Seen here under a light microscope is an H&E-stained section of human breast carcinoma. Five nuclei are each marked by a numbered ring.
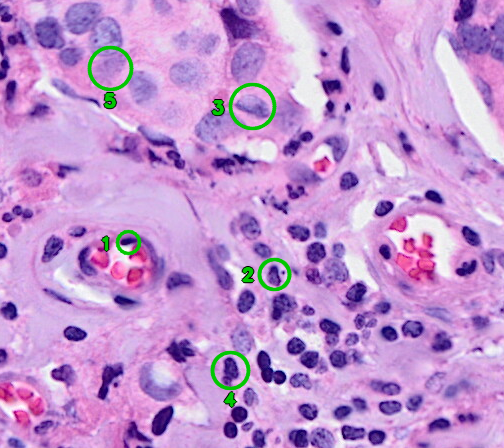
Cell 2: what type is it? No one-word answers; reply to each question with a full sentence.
In this section, the cell tagged 2 is a lymphocyte.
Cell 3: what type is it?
The marked cell bearing number 3 is a carcinoma cell.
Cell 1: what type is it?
The cell numbered 1 represents an endothelial cell.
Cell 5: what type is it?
The cell numbered 5 represents a carcinoma cell.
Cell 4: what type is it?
Cell 4 is classified as a lymphocyte.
